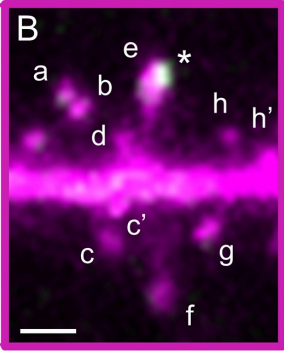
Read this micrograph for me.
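Here a short stretch of a dendrite is seen at high magnification, running as a thick bright magenta band across the middle of the picture. Some spine heads sit at a distance from the shaft, with their thin necks only faintly visible.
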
